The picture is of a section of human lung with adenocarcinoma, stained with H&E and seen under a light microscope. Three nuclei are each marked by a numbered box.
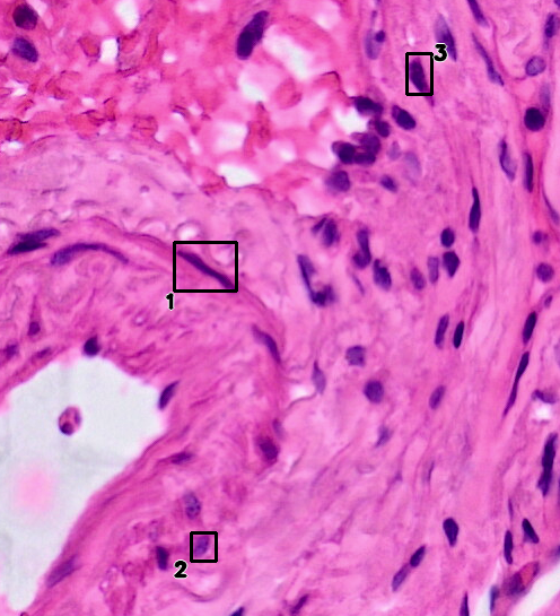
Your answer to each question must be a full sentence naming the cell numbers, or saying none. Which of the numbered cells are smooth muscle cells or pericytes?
As for the cells numbered 1 and 2, they are smooth muscle cells or pericytes.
